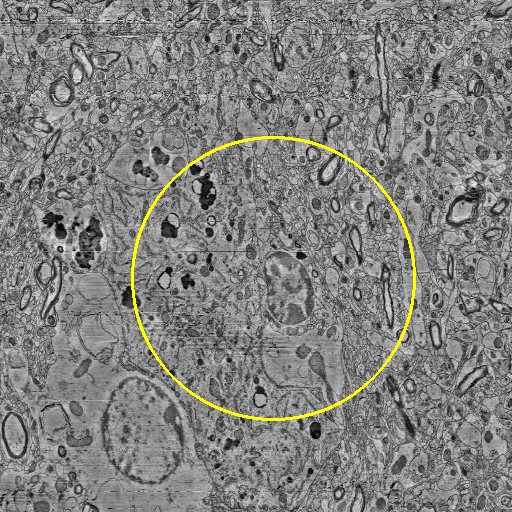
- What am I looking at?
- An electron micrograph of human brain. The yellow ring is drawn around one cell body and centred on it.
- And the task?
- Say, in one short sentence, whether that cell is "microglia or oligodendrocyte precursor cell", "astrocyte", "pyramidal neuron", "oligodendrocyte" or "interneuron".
The cell in the middle of the ring is a microglial cell or oligodendrocyte precursor cell.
